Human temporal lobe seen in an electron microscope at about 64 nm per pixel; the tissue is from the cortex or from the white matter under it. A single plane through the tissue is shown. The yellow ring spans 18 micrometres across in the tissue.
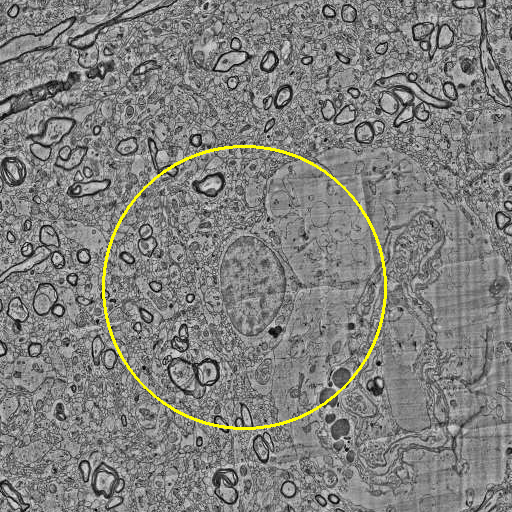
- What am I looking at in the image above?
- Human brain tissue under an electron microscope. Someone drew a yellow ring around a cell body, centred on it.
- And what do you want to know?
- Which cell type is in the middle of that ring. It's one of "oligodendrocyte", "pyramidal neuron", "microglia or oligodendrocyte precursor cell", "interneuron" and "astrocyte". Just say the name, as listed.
oligodendrocyte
